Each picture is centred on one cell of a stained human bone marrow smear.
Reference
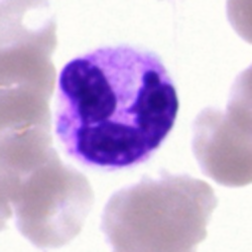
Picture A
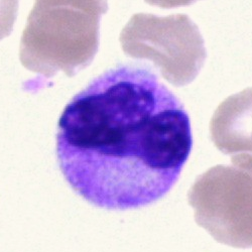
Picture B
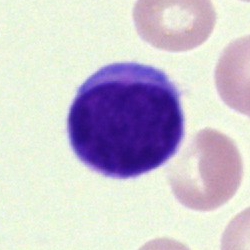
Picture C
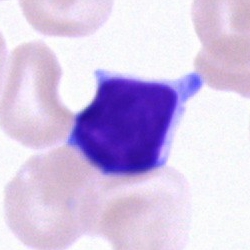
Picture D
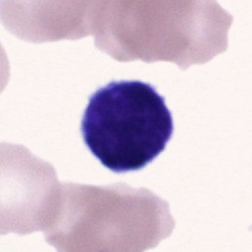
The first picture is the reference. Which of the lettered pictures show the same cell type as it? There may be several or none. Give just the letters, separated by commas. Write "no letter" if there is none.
A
